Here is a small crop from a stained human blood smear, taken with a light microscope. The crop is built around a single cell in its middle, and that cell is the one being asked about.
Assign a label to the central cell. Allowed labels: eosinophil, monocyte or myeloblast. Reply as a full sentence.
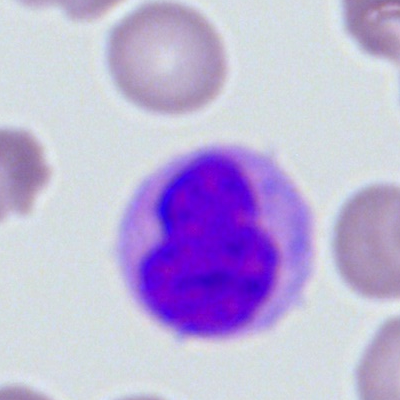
Located at the centre of the crop is a monocyte.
